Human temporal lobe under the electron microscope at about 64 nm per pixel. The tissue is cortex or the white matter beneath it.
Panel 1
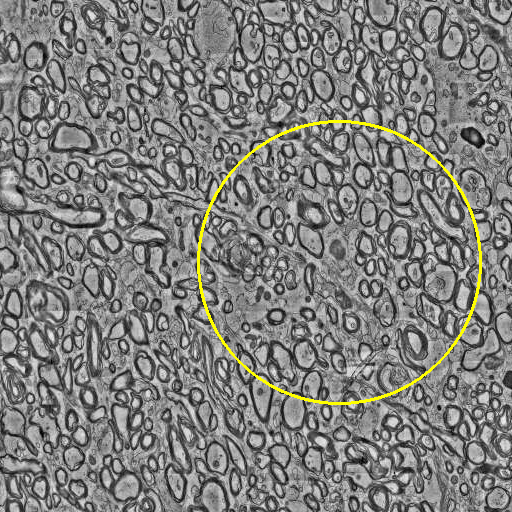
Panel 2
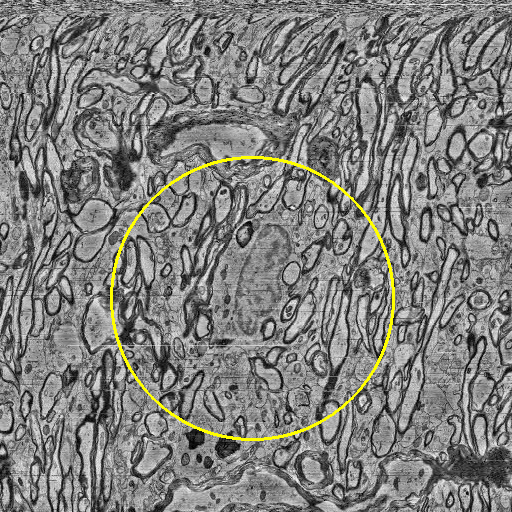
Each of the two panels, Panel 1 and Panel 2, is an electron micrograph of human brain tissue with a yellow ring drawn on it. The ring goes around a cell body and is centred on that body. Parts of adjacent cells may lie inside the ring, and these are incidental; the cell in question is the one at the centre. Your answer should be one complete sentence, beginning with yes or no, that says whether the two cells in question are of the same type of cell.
No, the two cells are of two types.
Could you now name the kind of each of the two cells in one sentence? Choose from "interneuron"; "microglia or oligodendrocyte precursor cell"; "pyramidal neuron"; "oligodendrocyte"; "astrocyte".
The first ring encloses a microglial cell or oligodendrocyte precursor cell; the second ring encloses an oligodendrocyte.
